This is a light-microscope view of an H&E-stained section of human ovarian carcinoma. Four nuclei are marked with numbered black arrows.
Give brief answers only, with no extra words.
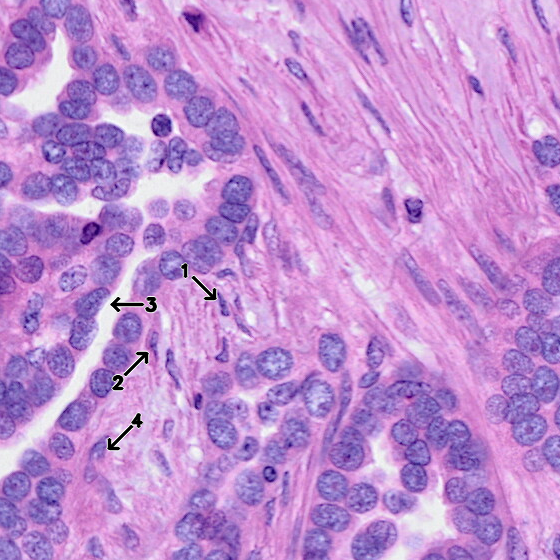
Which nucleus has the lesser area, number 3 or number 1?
1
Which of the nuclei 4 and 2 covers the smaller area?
2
